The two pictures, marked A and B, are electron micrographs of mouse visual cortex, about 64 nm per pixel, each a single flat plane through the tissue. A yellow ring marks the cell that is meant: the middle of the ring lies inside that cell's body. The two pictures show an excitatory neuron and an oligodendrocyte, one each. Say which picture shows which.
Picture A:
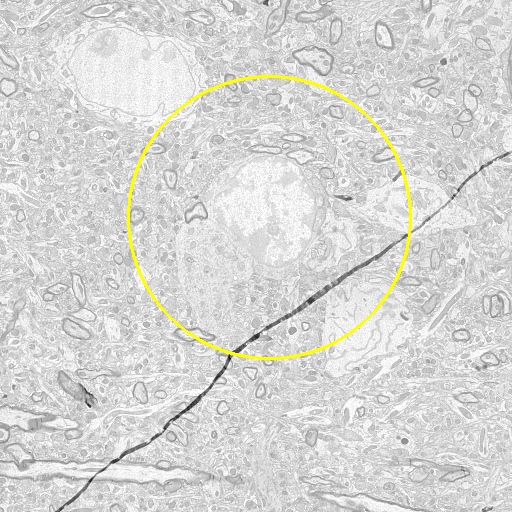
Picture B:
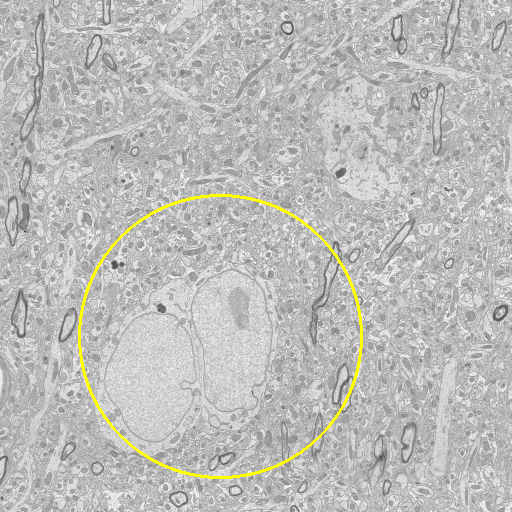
It is picture A that shows an oligodendrocyte, and picture B that shows an excitatory neuron.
